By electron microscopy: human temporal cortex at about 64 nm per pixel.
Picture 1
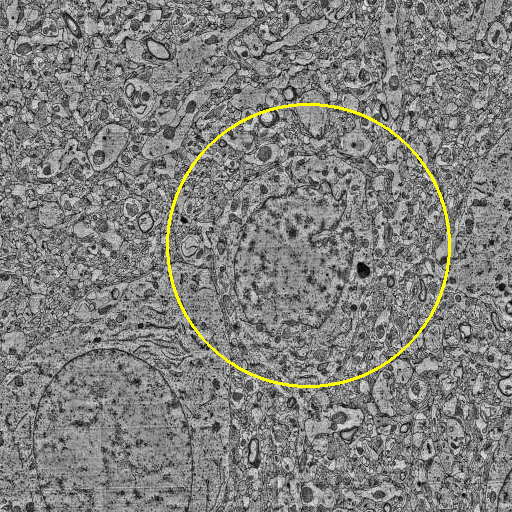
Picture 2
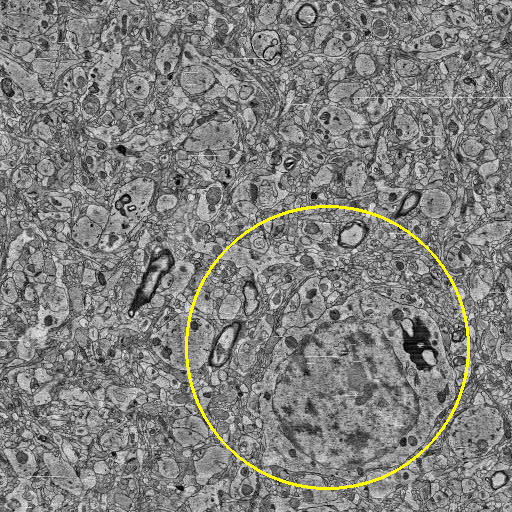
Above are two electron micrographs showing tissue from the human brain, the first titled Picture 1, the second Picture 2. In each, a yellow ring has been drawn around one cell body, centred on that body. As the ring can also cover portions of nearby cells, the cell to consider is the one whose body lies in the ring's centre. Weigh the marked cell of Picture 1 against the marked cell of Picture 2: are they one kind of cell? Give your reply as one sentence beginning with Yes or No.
Yes, the two cells sitting at the ring centres in the pictures are of one kind.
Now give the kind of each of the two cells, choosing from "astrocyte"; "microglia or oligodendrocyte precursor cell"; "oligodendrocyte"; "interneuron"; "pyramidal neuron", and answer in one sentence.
Each of the two rings is centred on an interneuron.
